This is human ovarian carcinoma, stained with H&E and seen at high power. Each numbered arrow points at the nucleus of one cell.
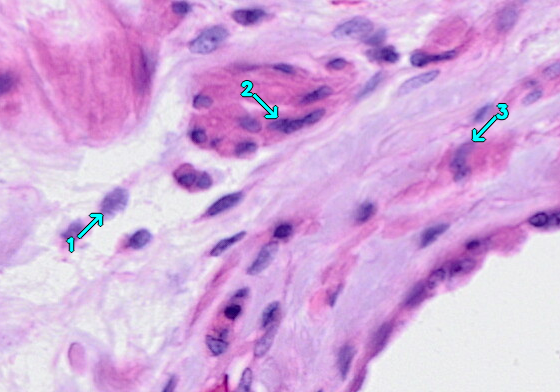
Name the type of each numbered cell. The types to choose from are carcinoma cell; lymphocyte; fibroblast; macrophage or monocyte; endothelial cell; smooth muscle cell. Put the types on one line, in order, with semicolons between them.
fibroblast; smooth muscle cell; smooth muscle cell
